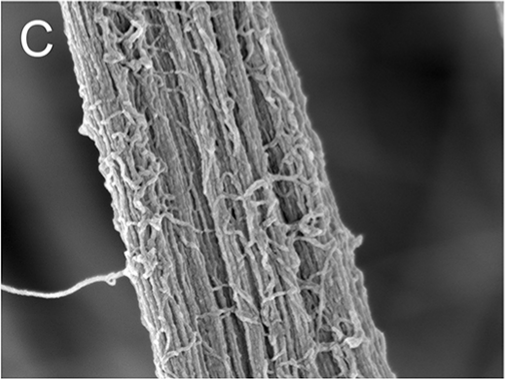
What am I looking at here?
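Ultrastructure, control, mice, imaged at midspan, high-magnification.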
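A single thick zonular fiber runs diagonally across the field against a dark, out-of-focus background. It is built of many fine fibrils lying parallel to one another along the length of the fiber, giving it a finely grooved surface. Loose, wavy and curled fibrils lie across the surface and fray from its edges. A single thin strand leaves the side of the fiber toward the left edge. No cells are in the field.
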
